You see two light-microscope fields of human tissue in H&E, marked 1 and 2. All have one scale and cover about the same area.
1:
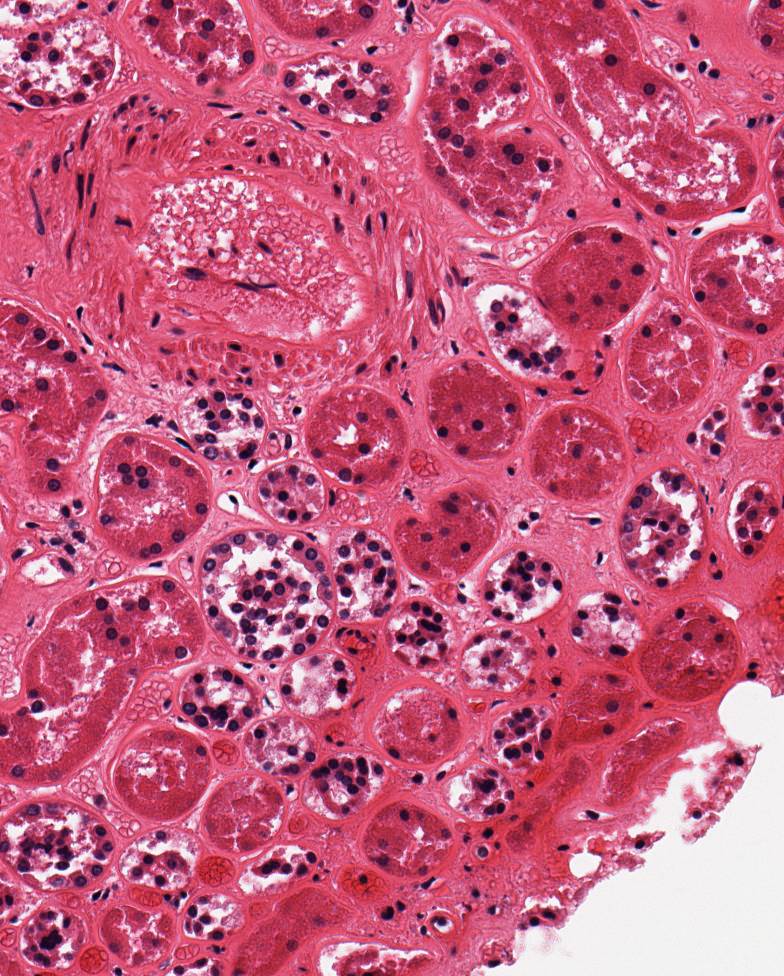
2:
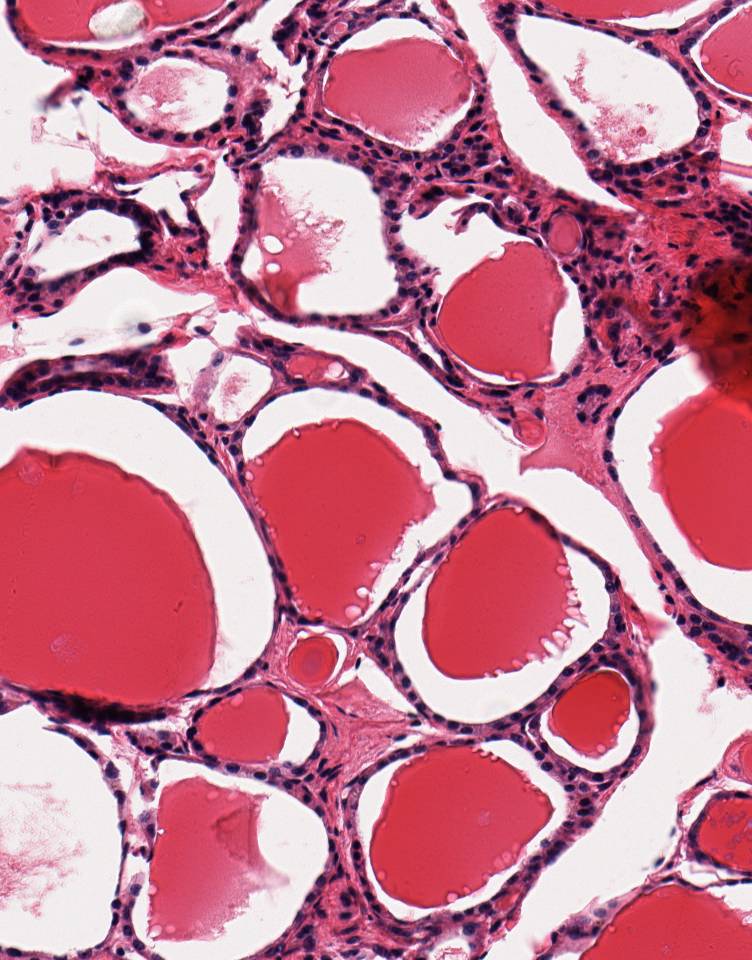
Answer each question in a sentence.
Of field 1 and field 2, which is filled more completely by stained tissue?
Unstained space takes up less of field 1 than of field 2.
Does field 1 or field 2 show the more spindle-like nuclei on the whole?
The nuclei are more elongated in field 2.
